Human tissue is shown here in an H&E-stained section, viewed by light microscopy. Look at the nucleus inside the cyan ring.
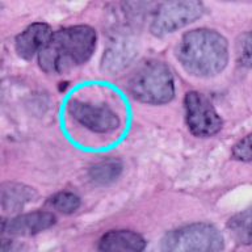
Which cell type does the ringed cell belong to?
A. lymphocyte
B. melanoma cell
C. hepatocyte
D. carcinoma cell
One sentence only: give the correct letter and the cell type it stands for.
Option D is the right one; the ringed cell is a carcinoma cell.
